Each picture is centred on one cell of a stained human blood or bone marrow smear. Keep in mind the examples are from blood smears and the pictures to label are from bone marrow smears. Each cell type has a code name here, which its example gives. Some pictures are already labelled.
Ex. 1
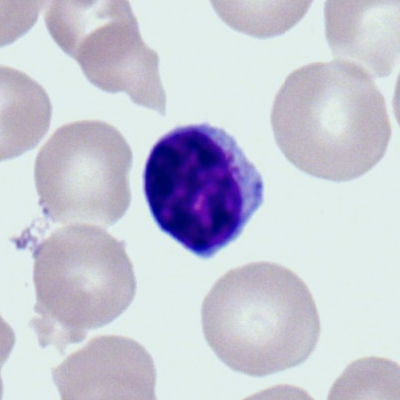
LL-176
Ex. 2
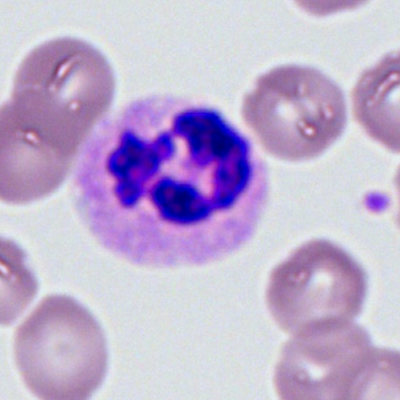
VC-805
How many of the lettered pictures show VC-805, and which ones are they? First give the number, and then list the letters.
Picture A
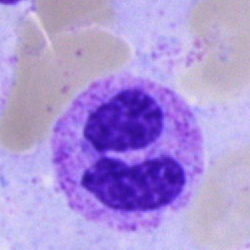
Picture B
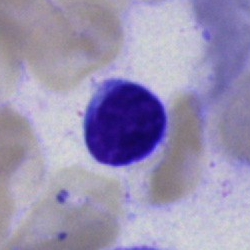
Count: 1 (A)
